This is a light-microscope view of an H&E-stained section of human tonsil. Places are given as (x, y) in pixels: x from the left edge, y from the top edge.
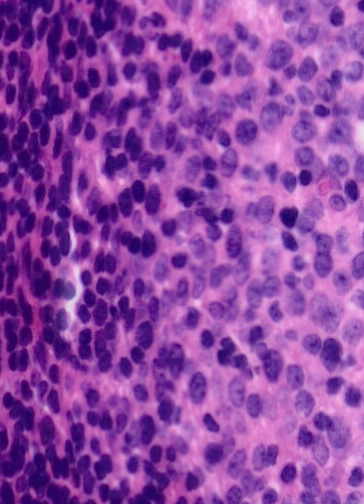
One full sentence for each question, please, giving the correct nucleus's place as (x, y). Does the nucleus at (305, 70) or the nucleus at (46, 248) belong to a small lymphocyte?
It is at (46, 248) that the nucleus of a small lymphocyte is found.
